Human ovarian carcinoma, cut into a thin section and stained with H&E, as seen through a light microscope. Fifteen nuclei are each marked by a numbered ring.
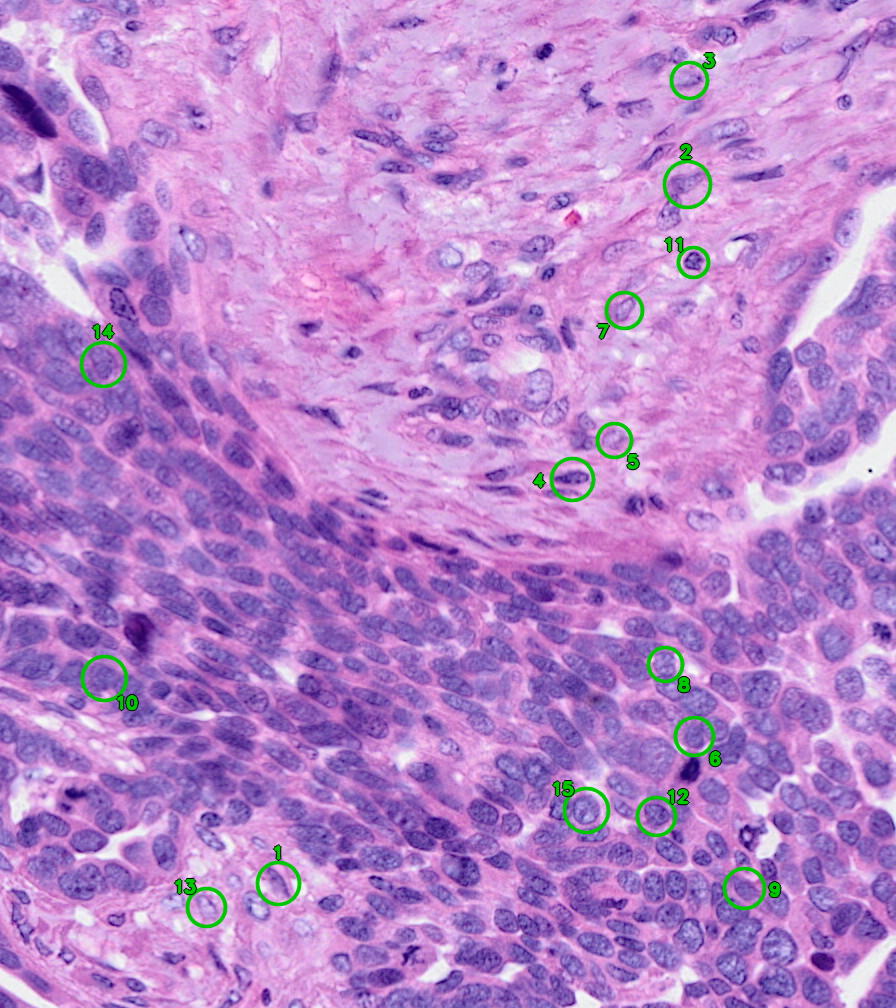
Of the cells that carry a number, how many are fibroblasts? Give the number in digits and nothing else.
6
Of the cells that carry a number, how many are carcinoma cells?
7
